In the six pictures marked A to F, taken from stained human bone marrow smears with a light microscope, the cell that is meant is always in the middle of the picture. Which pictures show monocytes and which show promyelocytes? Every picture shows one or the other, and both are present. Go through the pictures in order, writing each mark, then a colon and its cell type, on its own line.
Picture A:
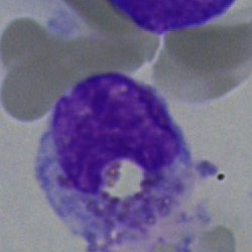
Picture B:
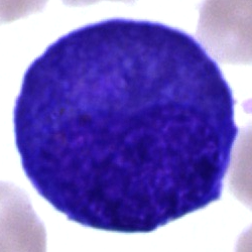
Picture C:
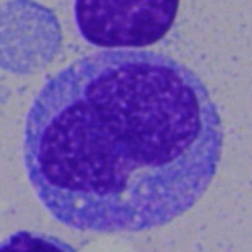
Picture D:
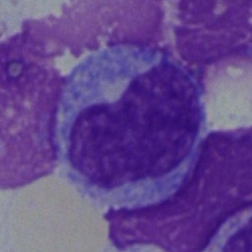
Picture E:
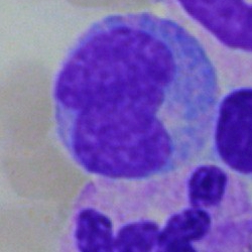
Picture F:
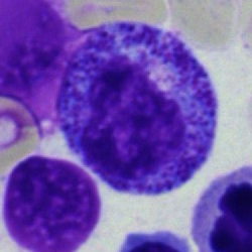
A: monocyte
B: promyelocyte
C: monocyte
D: monocyte
E: monocyte
F: promyelocyte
